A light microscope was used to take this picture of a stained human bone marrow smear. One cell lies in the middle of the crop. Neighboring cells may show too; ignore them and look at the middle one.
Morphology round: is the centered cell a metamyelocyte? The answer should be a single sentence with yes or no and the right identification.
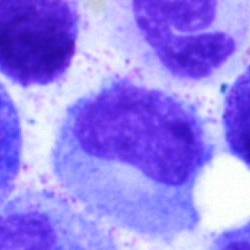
Yes, placed in the middle of the crop is a metamyelocyte.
